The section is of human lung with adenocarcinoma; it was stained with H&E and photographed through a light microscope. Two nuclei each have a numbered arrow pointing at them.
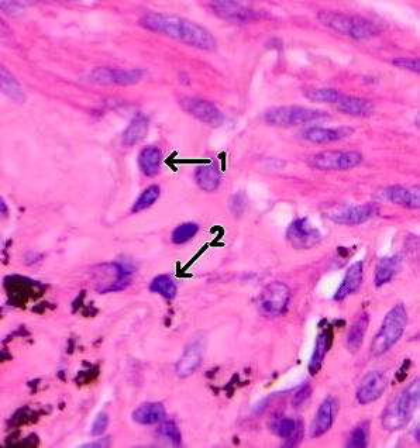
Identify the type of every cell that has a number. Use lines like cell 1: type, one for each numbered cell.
cell 1: mast cell
cell 2: lymphocyte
